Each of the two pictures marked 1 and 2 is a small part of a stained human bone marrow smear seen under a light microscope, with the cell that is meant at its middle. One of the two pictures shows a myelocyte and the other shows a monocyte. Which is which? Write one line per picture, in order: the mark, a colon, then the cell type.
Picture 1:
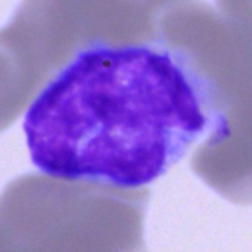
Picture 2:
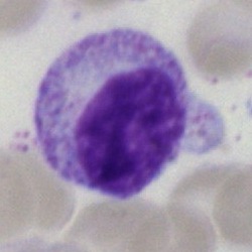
1: monocyte
2: myelocyte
